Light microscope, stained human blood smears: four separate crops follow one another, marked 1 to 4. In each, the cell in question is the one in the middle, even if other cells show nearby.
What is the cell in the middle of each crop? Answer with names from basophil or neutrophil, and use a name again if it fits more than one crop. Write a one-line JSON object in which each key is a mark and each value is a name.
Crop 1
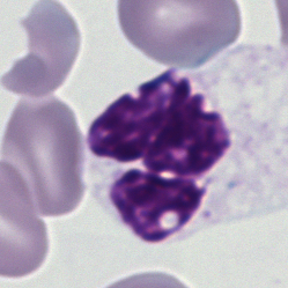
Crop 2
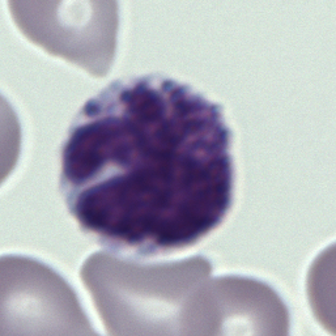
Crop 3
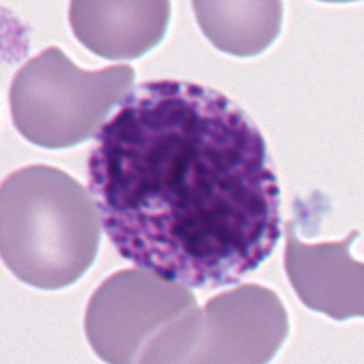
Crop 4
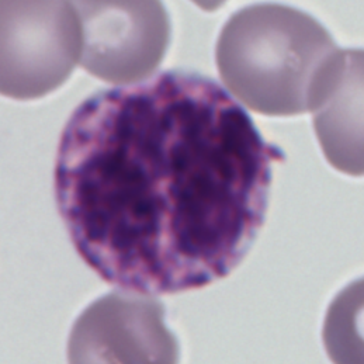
{"1": "neutrophil", "2": "basophil", "3": "basophil", "4": "basophil"}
